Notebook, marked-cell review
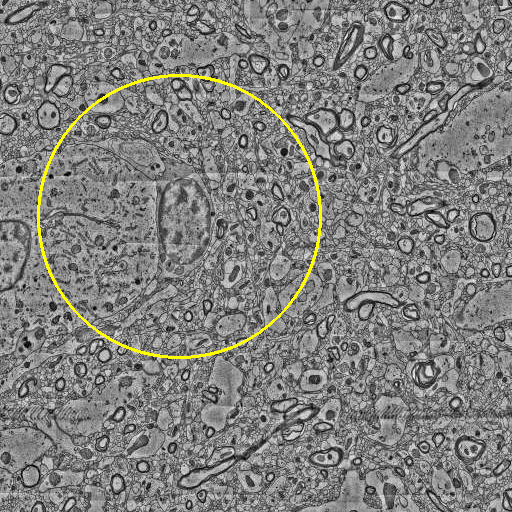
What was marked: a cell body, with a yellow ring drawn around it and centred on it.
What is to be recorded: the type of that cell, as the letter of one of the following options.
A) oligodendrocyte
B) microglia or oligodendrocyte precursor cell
A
